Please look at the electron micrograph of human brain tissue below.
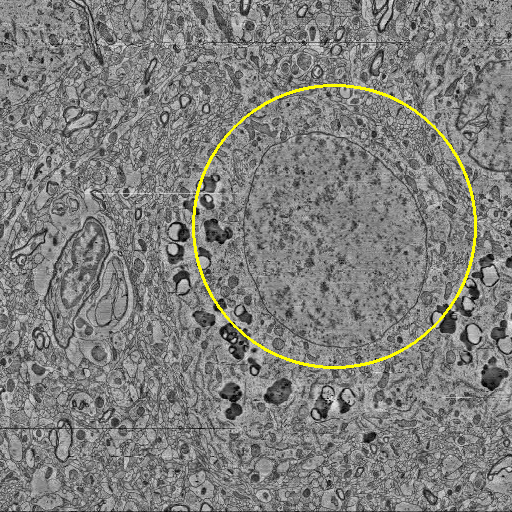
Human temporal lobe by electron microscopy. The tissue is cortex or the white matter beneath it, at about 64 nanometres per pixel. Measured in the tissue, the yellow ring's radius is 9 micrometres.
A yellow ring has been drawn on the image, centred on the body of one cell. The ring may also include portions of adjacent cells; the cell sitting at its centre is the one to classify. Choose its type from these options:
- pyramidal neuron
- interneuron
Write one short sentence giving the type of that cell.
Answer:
The cell in the middle of the ring is a pyramidal neuron.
